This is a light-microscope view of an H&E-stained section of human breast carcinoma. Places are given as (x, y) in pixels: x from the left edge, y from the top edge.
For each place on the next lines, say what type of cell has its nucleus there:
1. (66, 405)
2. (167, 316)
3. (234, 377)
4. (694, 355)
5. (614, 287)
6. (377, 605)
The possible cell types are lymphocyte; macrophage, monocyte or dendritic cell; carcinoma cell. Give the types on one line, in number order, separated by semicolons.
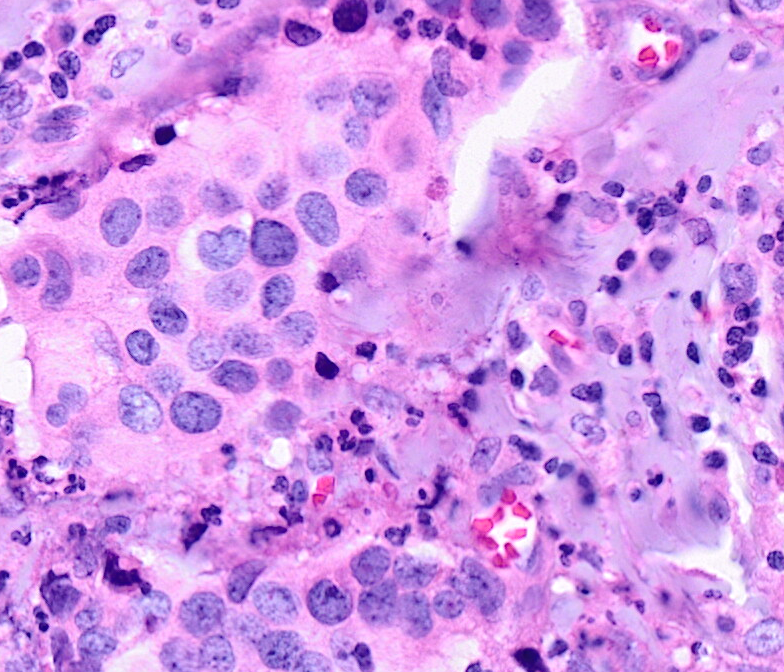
carcinoma cell; carcinoma cell; carcinoma cell; lymphocyte; lymphocyte; carcinoma cell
